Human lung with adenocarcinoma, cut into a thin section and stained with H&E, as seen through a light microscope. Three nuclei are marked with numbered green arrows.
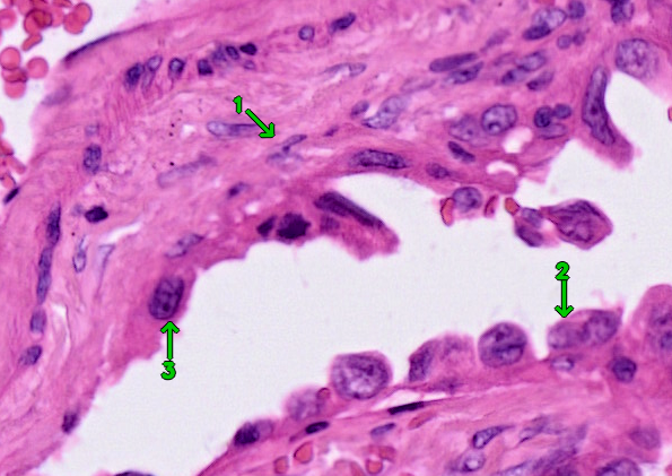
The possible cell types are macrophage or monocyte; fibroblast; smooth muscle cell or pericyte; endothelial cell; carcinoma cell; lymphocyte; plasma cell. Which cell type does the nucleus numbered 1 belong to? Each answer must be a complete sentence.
Number 1 is placed on a fibroblast here.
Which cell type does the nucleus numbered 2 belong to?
As for number 2, that cell is a carcinoma cell.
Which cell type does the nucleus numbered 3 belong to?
Cell 3 in the field of view is a carcinoma cell.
